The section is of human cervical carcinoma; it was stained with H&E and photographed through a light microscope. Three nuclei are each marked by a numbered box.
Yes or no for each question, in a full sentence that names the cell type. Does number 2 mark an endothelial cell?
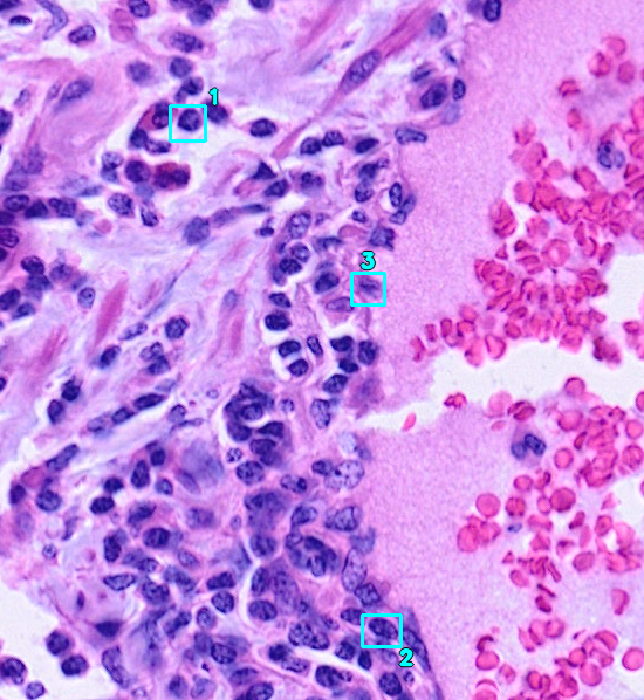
No, it's not an endothelial cell at number 2; that cell is a lymphocyte.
